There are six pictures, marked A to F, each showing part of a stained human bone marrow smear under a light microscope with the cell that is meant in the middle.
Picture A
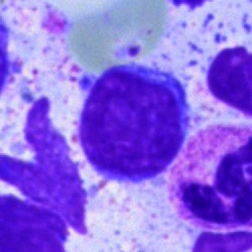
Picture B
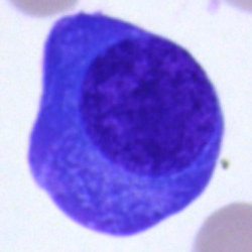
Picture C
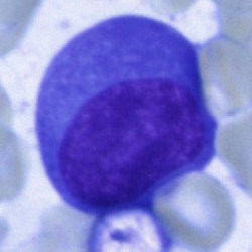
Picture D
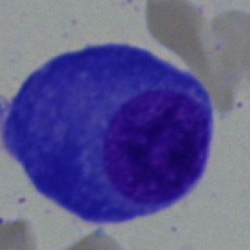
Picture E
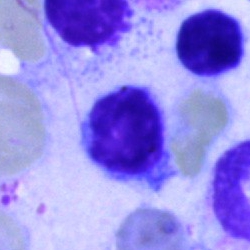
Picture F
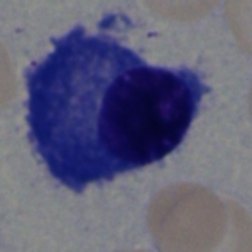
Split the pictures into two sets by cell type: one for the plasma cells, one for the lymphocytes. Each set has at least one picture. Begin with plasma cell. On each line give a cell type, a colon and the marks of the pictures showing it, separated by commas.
plasma cell: B, C, D, F
lymphocyte: A, E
